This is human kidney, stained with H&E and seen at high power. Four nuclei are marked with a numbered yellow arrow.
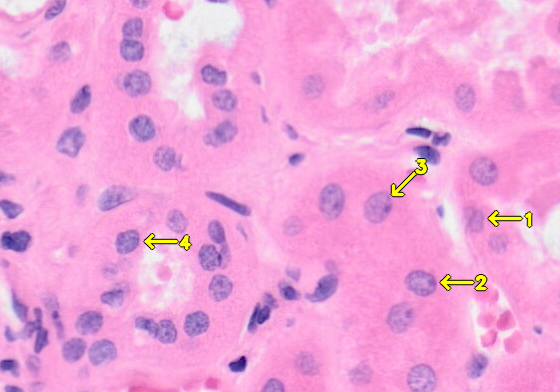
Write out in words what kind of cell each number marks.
Cell 1 is a proximal tubule cell, cell 2 is a proximal tubule cell, cell 3 is a proximal tubule cell and cell 4 is a loop of Henle or distal tubule cell.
